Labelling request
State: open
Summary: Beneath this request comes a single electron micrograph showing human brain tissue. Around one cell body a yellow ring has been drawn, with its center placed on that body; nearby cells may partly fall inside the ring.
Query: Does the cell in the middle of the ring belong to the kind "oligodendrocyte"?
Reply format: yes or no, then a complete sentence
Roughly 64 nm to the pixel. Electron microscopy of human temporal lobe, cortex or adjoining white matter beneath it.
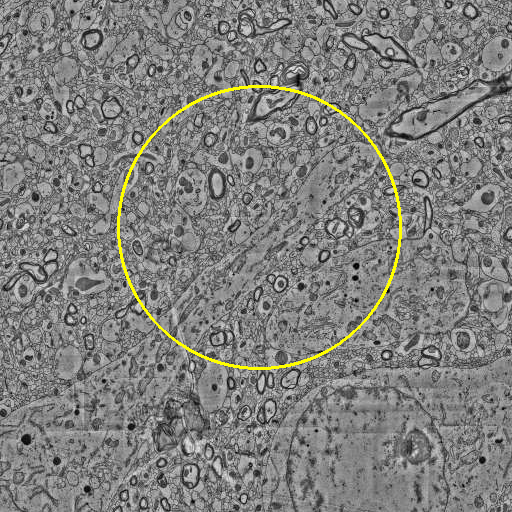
Yes, the cell sitting at the center of the ring in this picture is of that kind.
